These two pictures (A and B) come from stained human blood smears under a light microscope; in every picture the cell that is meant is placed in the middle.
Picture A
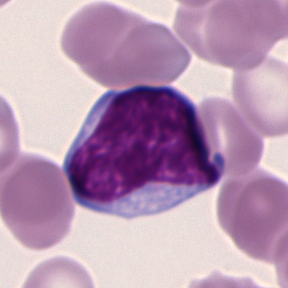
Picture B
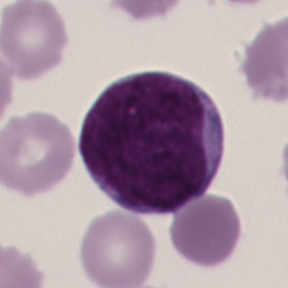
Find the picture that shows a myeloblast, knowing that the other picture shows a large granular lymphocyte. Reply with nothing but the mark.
B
